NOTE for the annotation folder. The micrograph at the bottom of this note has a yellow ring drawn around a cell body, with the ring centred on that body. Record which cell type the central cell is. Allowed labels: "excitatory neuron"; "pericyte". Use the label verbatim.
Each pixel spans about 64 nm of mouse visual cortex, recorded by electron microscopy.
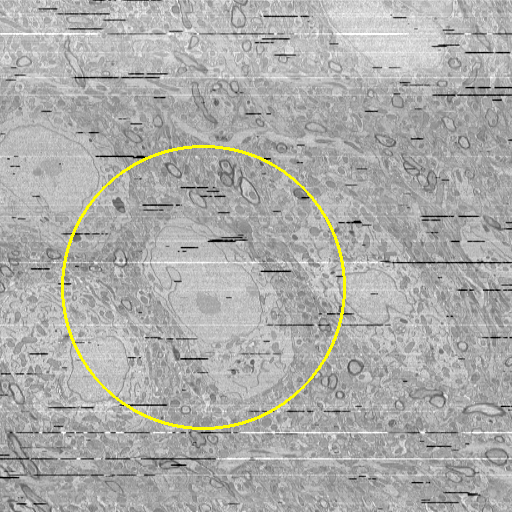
excitatory neuron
